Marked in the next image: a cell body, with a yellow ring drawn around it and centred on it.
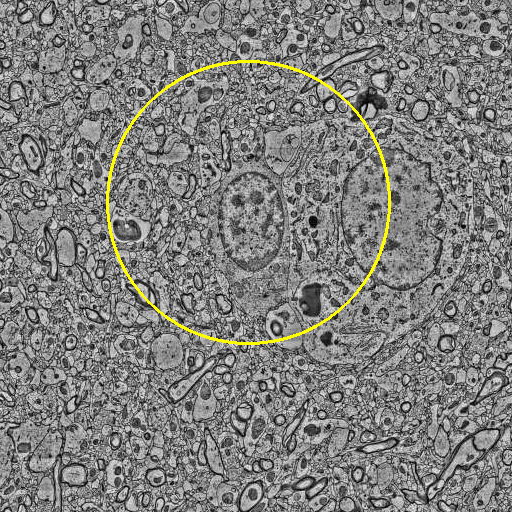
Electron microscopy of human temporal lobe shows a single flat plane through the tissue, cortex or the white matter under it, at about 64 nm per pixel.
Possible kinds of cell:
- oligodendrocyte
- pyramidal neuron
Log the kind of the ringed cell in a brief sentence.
The ringed cell body is that of an oligodendrocyte.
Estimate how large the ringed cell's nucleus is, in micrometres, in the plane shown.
About 6 by 4 micrometers for the nucleus, in this plane.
